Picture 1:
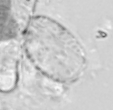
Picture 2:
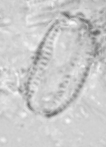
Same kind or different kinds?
Same: Amphora.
